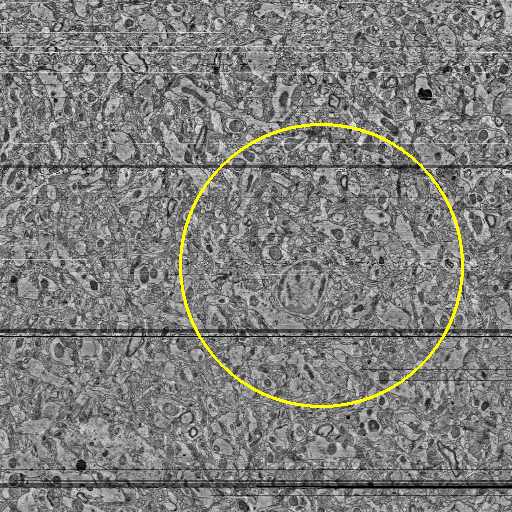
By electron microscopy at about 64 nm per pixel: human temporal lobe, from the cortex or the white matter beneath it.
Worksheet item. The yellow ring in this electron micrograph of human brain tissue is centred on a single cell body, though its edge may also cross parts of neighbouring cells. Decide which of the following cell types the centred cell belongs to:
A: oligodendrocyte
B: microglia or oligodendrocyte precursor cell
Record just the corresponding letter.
B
